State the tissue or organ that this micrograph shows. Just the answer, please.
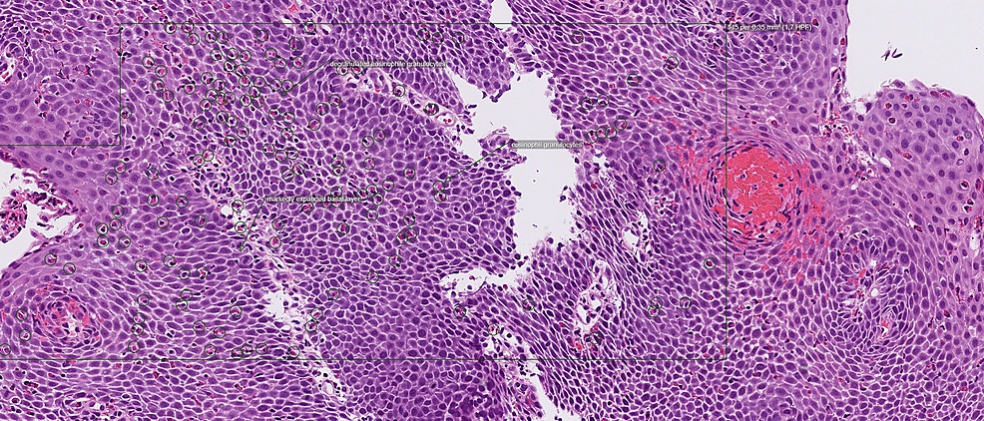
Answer: Esophageal mucosa.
